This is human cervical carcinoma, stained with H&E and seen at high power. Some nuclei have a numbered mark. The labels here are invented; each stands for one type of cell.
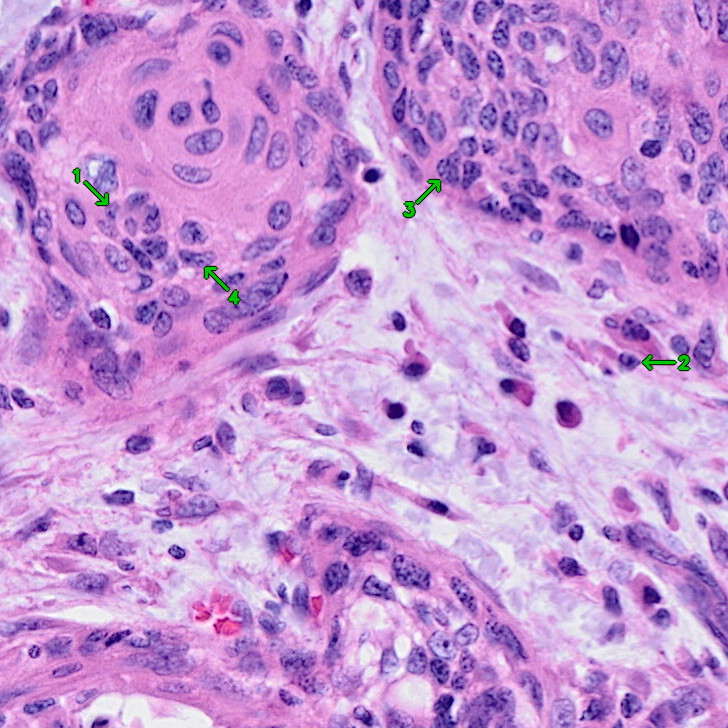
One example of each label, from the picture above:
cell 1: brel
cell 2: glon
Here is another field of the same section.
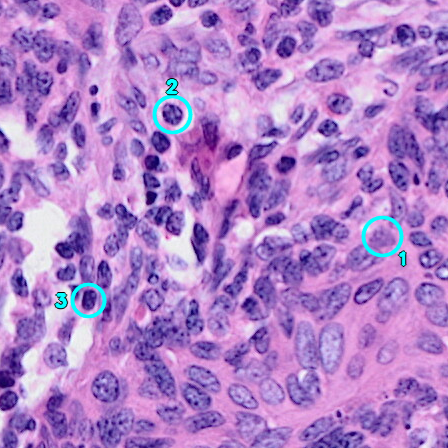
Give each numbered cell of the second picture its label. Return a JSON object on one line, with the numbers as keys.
{"1": "brel", "2": "glon", "3": "glon"}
